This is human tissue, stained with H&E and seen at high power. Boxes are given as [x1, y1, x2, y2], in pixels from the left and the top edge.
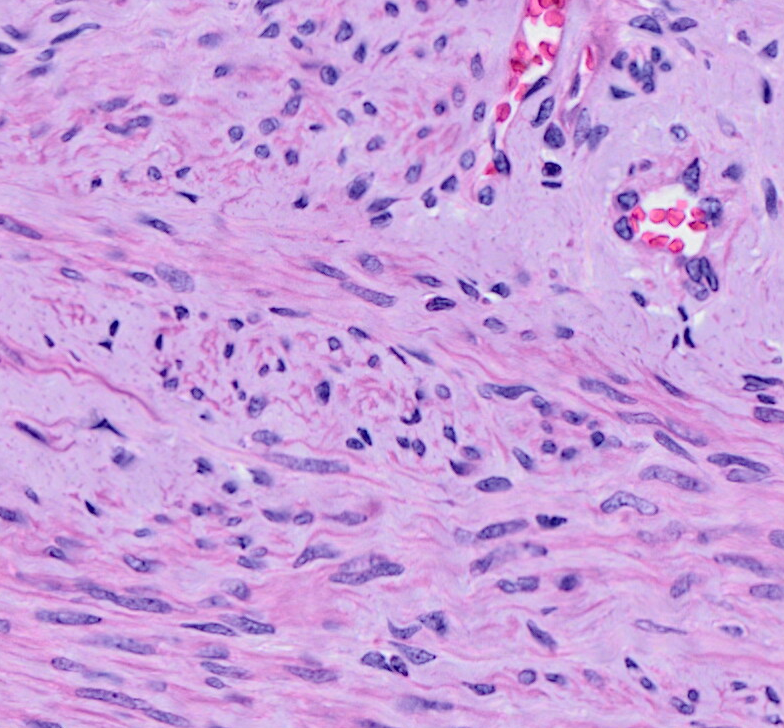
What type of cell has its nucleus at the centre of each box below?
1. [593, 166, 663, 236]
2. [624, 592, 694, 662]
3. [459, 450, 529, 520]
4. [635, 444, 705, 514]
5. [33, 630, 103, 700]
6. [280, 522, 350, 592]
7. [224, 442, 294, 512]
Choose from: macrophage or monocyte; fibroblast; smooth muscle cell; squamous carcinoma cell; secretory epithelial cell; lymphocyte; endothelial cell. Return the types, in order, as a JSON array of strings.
["endothelial cell", "fibroblast", "fibroblast", "smooth muscle cell", "smooth muscle cell", "smooth muscle cell", "fibroblast"]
